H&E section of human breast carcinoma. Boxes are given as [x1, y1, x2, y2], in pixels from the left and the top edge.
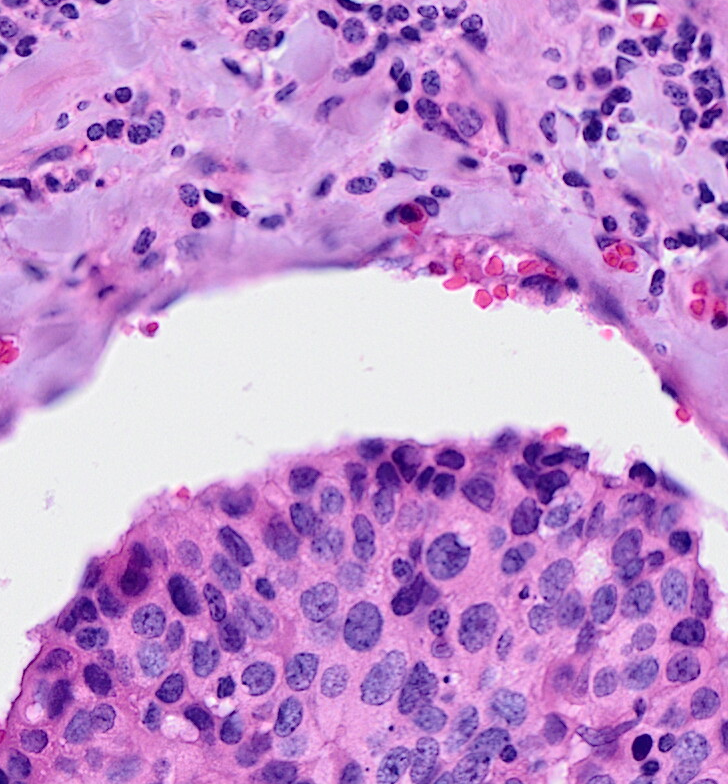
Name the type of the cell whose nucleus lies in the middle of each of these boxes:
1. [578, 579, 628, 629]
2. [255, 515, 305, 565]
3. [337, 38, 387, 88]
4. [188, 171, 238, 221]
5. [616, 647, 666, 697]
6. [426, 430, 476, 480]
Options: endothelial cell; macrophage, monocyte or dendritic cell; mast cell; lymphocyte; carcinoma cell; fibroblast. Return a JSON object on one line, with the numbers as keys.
{"1": "carcinoma cell", "2": "carcinoma cell", "3": "lymphocyte", "4": "lymphocyte", "5": "carcinoma cell", "6": "carcinoma cell"}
